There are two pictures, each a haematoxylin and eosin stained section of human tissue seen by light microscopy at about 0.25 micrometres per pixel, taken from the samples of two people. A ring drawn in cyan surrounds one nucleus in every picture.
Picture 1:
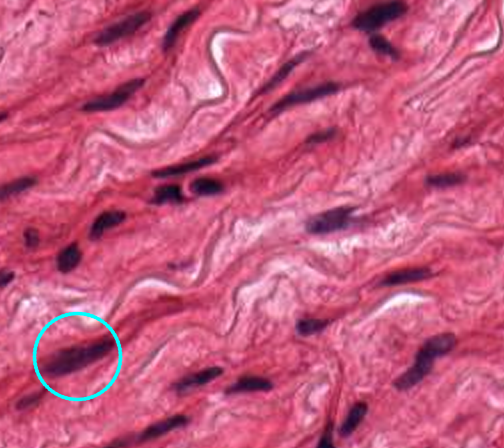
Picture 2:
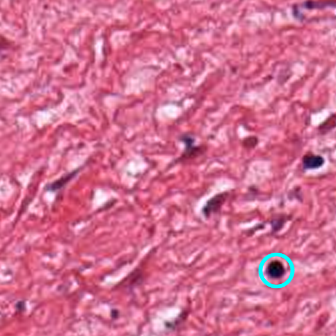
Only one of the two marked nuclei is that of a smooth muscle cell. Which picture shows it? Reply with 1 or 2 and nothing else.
1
